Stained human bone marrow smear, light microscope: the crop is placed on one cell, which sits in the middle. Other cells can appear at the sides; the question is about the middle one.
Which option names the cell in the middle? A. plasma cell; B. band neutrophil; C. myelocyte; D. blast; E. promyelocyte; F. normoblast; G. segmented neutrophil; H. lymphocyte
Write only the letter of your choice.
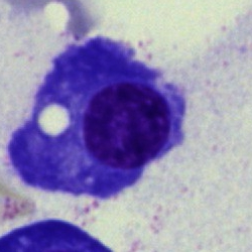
A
